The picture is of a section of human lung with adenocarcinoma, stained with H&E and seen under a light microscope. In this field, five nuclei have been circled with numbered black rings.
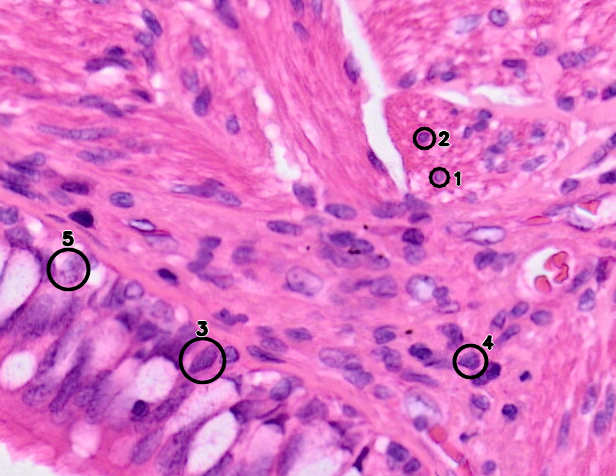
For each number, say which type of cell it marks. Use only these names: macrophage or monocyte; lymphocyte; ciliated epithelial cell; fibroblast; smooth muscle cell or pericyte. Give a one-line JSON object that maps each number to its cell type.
{"1": "smooth muscle cell or pericyte", "2": "smooth muscle cell or pericyte", "3": "ciliated epithelial cell", "4": "lymphocyte", "5": "ciliated epithelial cell"}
